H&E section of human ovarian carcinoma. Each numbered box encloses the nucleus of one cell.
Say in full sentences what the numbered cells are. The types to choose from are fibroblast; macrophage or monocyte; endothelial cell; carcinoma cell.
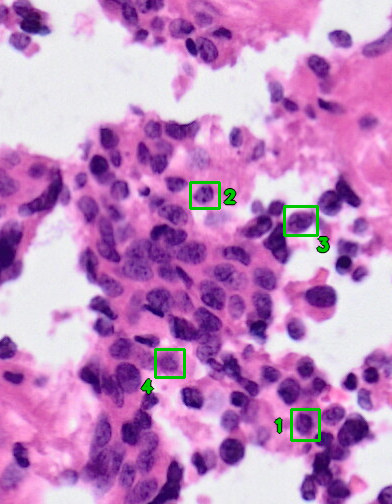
Cell 1 is a carcinoma cell, cell 2 is a macrophage or monocyte, cell 3 is a carcinoma cell and cell 4 is a carcinoma cell.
